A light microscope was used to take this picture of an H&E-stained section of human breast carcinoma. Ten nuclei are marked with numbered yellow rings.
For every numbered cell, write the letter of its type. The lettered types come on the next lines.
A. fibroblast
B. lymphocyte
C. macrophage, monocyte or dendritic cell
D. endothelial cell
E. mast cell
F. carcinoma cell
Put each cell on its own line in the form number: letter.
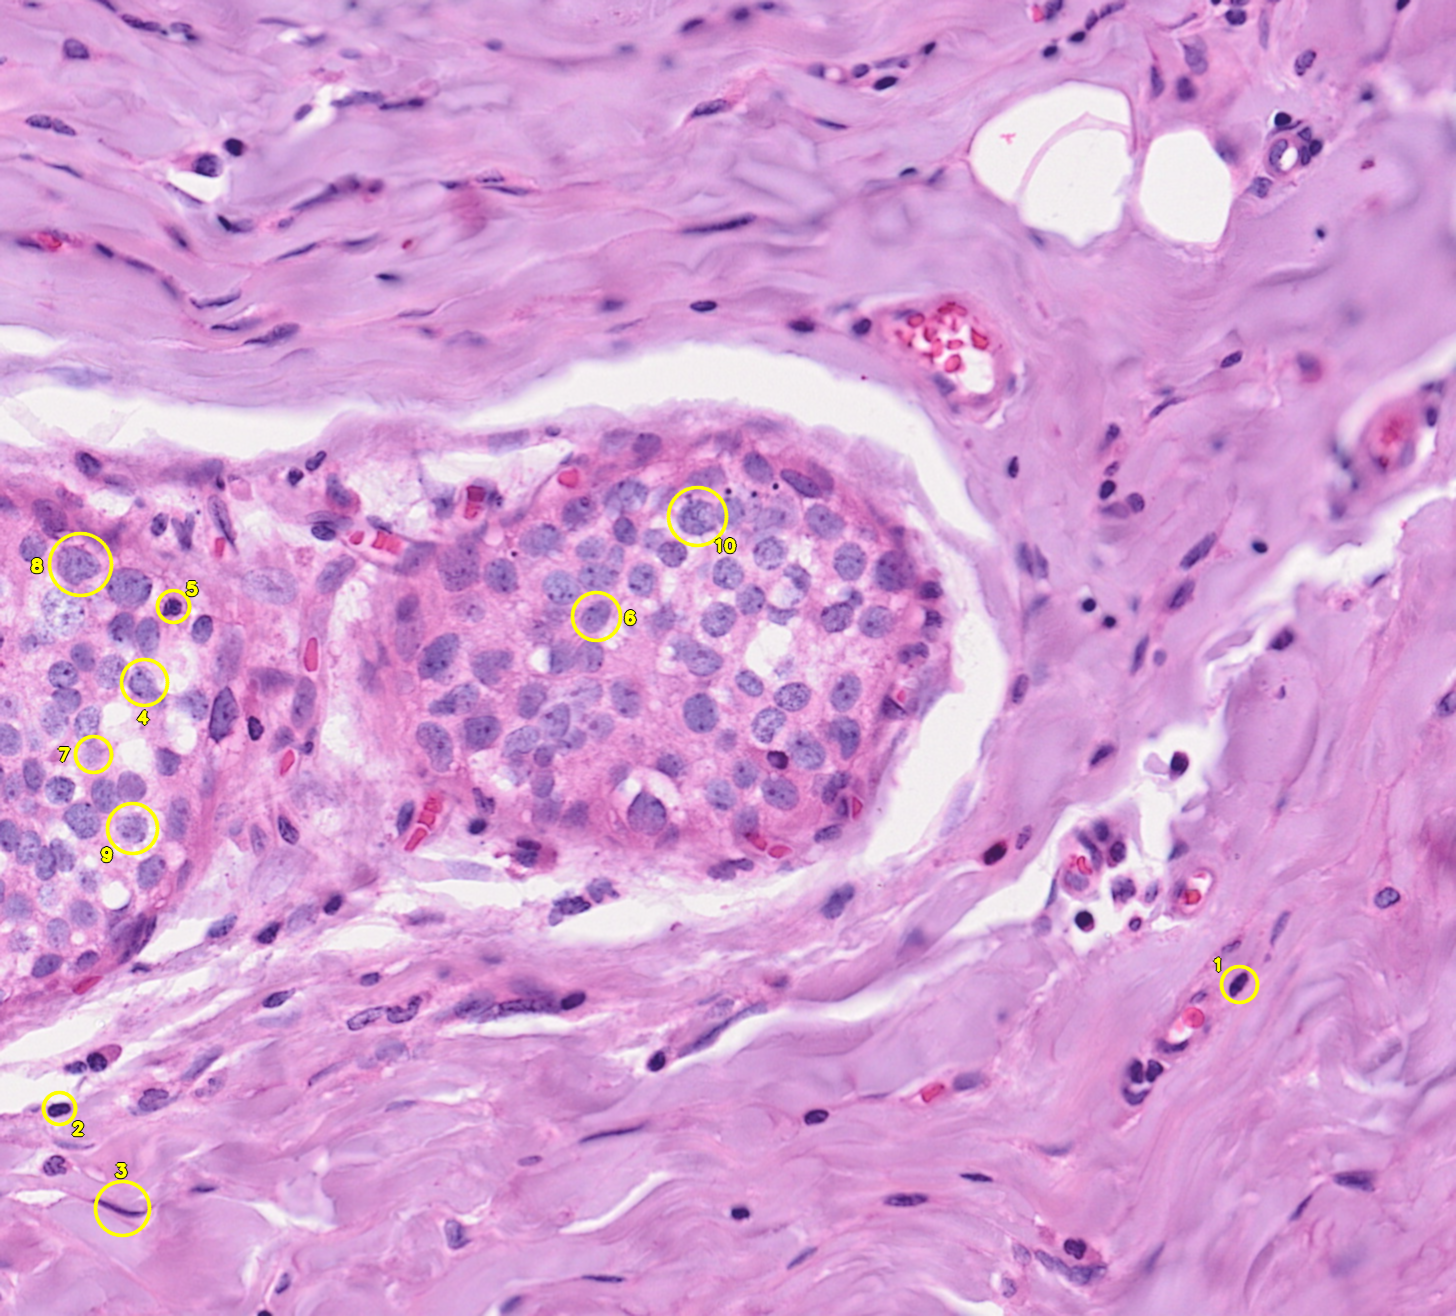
1: B
2: B
3: A
4: F
5: B
6: F
7: F
8: F
9: F
10: F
